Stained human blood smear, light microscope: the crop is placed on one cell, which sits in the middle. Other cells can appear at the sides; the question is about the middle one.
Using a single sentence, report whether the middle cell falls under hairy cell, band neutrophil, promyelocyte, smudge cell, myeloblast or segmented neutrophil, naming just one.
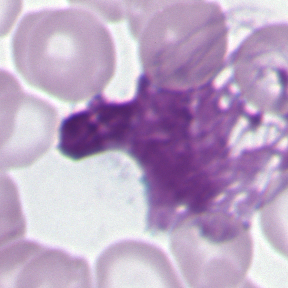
The cell at the heart of this crop is a smudge cell.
